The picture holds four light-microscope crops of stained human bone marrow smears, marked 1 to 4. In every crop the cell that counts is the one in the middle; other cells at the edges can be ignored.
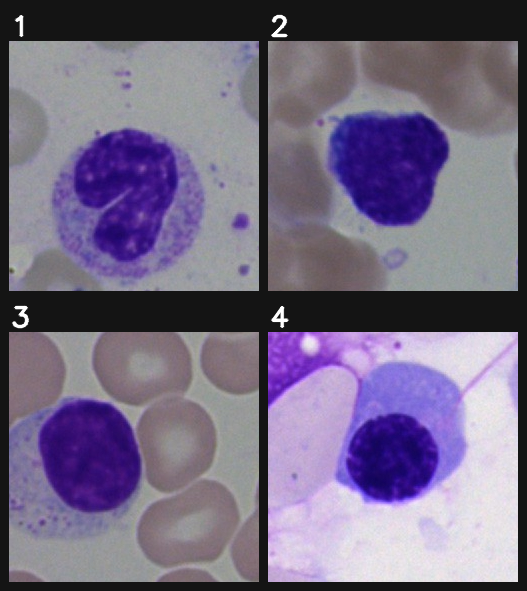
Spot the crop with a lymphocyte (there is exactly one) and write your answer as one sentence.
The correct choice is crop 3, the one showing a lymphocyte.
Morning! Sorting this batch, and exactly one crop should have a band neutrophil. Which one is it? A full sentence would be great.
The one showing a band neutrophil is crop 1.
